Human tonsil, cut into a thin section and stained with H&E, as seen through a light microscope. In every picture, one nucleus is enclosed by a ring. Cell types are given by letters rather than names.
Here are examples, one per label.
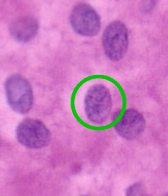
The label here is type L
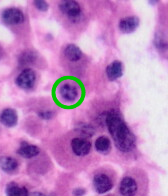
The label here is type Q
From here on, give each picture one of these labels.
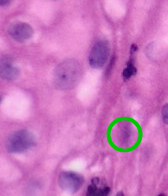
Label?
type L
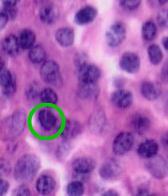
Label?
type Q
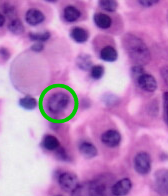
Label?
type Q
